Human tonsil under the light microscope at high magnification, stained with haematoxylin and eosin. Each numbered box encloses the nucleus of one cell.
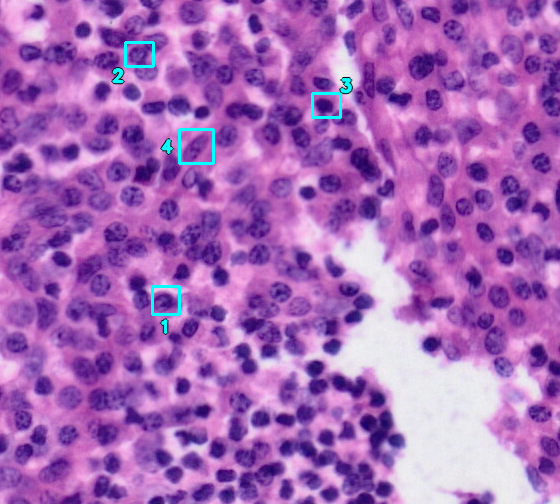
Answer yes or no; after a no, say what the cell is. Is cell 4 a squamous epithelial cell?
Yes.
